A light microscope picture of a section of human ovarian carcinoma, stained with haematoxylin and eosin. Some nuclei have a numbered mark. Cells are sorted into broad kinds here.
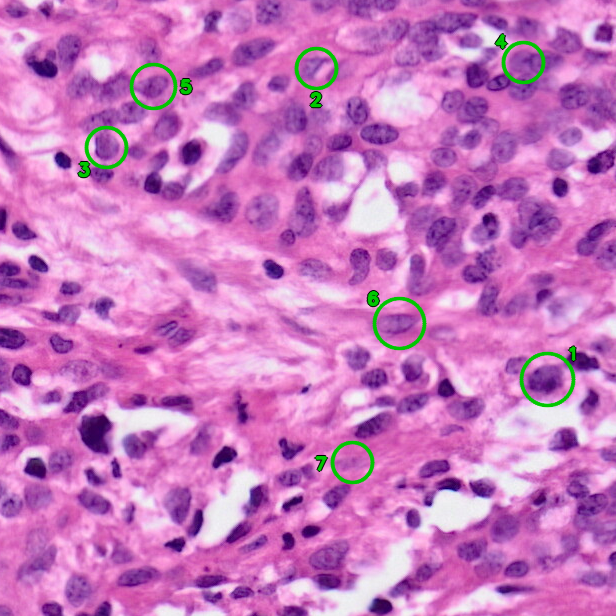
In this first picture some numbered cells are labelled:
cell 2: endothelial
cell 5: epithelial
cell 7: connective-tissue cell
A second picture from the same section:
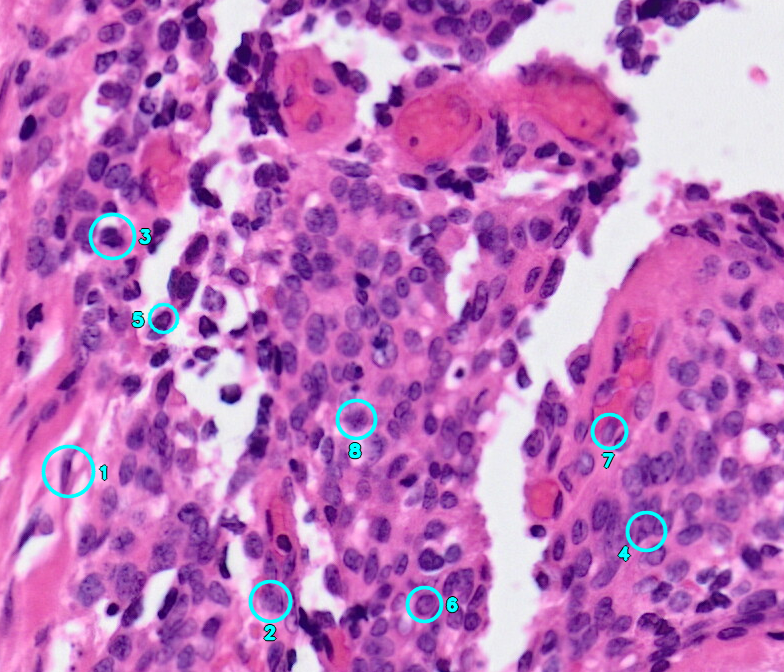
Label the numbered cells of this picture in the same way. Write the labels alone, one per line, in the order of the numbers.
connective-tissue cell
endothelial
epithelial
epithelial
epithelial
epithelial
endothelial
epithelial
